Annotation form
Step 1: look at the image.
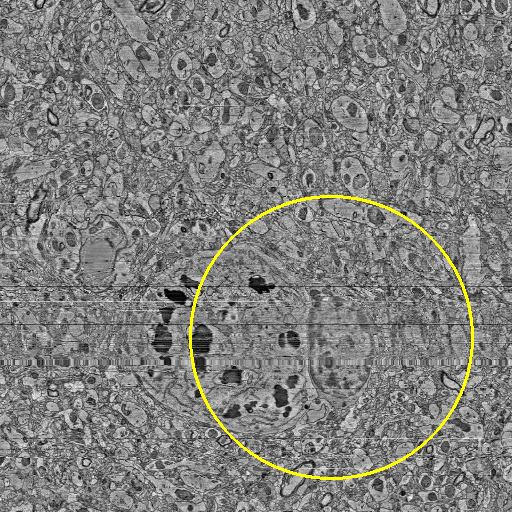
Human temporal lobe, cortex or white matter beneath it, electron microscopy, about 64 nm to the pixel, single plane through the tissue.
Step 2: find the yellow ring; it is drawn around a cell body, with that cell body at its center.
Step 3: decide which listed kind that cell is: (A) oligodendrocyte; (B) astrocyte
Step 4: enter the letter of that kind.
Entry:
A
